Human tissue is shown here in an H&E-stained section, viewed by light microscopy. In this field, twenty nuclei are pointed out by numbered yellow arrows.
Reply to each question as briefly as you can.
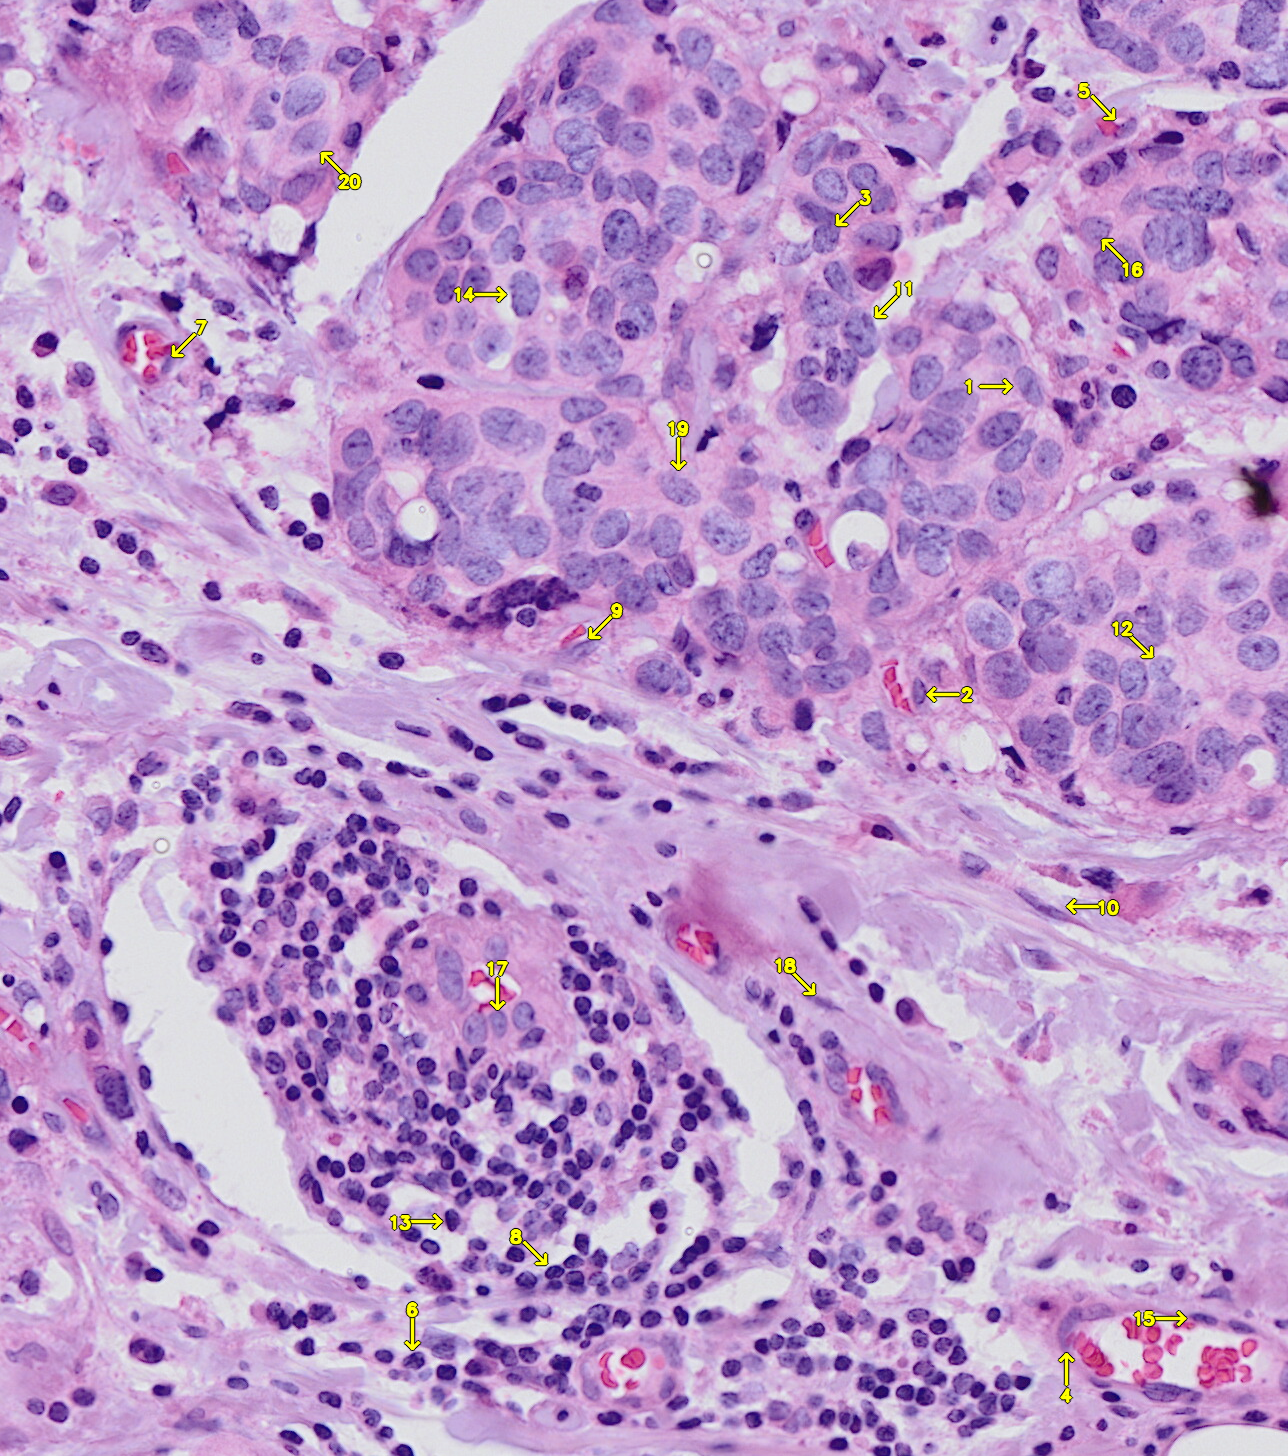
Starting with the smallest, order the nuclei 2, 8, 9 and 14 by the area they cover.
8, 2, 9, 14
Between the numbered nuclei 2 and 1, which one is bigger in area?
1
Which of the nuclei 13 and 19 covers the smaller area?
13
